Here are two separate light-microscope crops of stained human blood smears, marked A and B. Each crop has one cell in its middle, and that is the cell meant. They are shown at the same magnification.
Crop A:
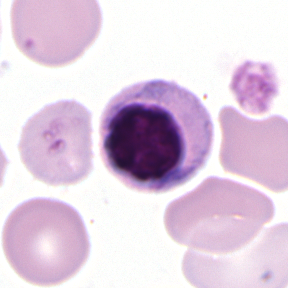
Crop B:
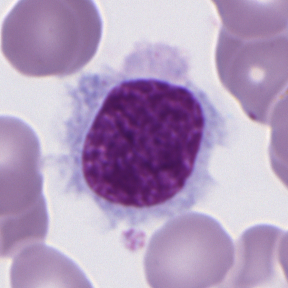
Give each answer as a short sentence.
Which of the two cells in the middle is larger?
It is the cell in crop B, about 2 times as large in area as the cell in crop A.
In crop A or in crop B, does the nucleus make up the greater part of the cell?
Of the two, the nucleus in crop B makes up the greater part of its cell.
